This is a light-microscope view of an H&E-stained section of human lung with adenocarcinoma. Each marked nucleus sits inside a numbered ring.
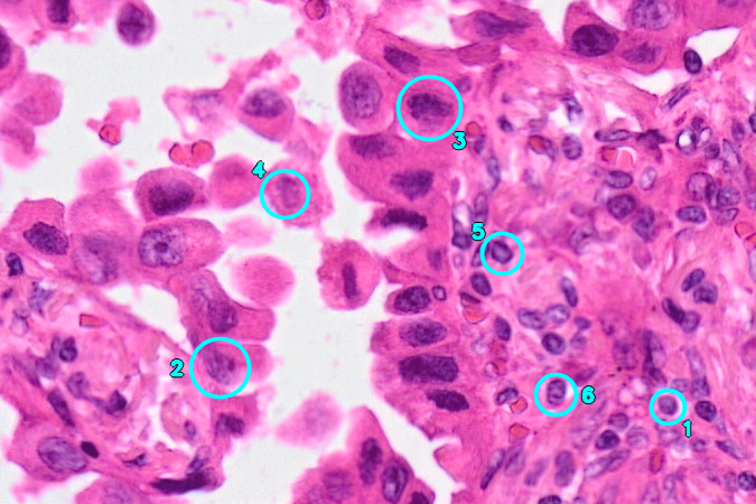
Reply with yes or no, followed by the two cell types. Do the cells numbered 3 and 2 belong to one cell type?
Yes, both of the cells numbered 3 and 2 are carcinoma cells.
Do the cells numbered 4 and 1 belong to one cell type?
No, in contrast to cell 1, which is a lymphocyte, cell 4 is a macrophage or monocyte.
